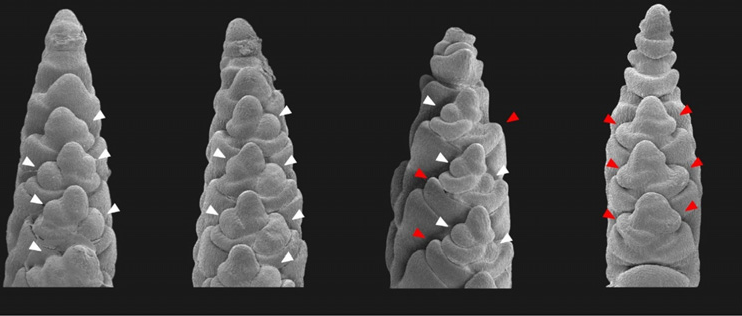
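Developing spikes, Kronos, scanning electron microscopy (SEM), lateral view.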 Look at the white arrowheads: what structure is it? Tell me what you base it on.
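The white arrowheads point to small rounded domes of tissue inside the spikelets. These domes sit in the hollow of a surrounding leaf-like organ. So: floral meristems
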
